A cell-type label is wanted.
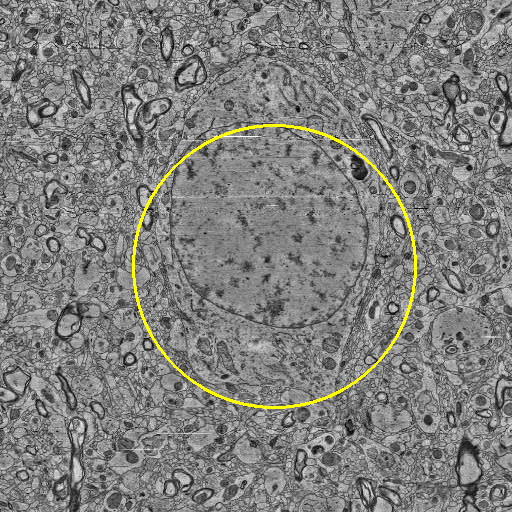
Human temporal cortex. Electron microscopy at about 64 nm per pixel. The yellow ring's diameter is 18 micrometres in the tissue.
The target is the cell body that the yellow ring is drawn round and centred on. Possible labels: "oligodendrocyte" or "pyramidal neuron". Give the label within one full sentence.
Of the labels offered, the cell in the middle of the yellow ring is a pyramidal neuron.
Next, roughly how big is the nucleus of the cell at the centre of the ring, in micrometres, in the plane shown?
In this plane, roughly 15 by 12 micrometres.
